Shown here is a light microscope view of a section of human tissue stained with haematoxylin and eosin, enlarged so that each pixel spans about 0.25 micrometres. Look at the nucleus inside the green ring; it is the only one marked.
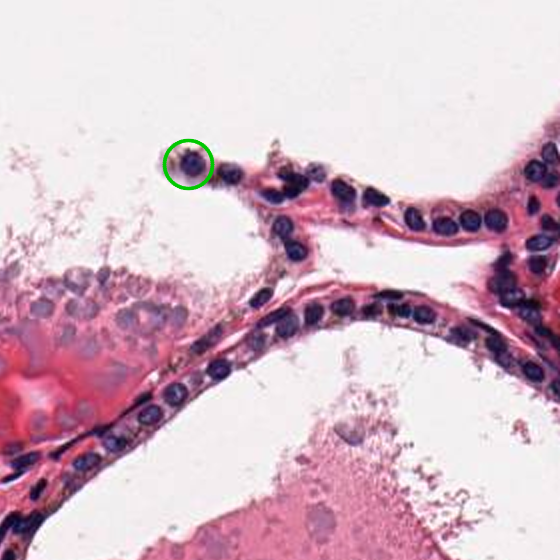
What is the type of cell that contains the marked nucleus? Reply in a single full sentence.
Here the marked nucleus is part of a thyroid follicular cell.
